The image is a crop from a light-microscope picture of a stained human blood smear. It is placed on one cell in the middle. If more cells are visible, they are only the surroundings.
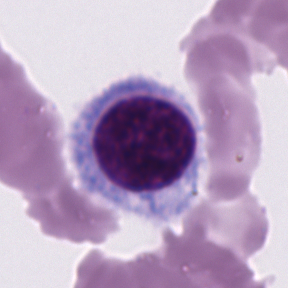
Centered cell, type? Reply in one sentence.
This crop has a hairy cell at its centre.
